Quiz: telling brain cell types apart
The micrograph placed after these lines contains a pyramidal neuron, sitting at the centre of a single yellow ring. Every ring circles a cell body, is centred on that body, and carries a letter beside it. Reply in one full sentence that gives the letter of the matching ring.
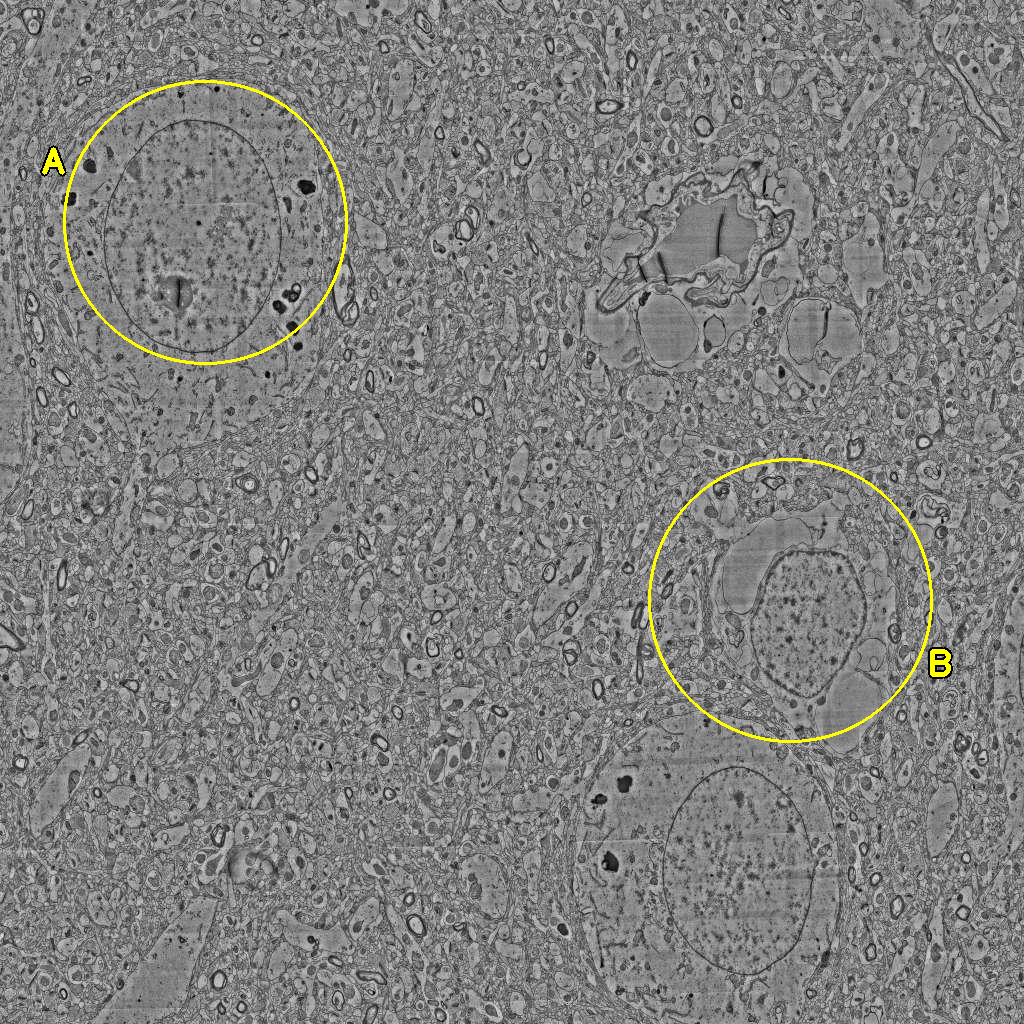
The cell asked for lies at the centre of ring A in the picture.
